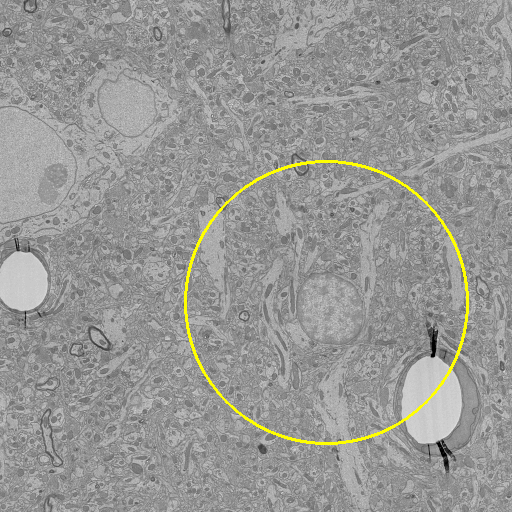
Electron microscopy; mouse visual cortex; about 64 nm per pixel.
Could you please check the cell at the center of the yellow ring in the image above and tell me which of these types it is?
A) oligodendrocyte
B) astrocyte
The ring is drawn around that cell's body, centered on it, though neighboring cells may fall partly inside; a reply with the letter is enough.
A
